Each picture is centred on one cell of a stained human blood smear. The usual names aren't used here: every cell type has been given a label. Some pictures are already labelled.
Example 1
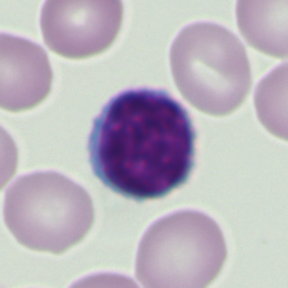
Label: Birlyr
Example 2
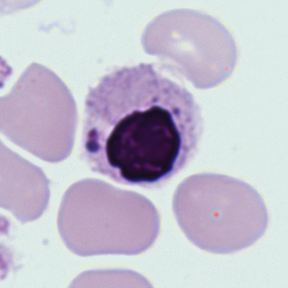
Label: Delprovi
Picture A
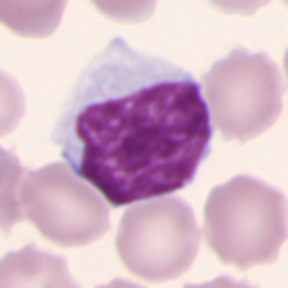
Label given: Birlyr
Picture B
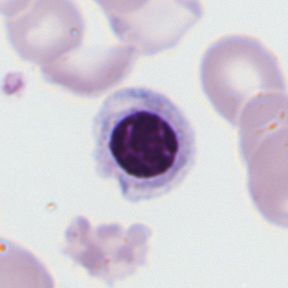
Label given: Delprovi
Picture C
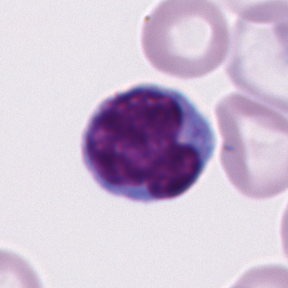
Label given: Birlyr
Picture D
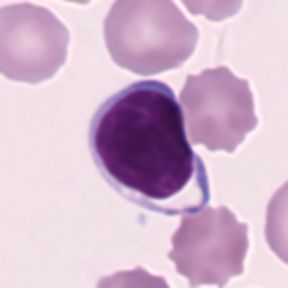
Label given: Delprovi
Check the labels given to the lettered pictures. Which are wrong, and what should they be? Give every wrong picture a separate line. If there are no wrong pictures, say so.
Wrong: D (Delprovi); correct: Birlyr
